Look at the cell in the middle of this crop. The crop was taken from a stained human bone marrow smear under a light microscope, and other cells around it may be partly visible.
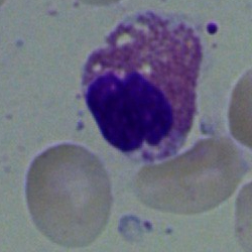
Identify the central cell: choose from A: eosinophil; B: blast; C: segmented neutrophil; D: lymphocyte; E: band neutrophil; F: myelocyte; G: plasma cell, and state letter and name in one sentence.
The centrally located cell is an eosinophil, making option A the correct choice.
